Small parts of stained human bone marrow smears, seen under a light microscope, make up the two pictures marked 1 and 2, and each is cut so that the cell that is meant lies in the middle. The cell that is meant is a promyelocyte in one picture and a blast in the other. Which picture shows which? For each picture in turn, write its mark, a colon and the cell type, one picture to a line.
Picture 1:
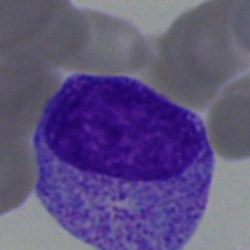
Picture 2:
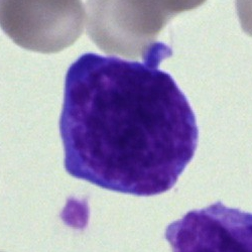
1: promyelocyte
2: blast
